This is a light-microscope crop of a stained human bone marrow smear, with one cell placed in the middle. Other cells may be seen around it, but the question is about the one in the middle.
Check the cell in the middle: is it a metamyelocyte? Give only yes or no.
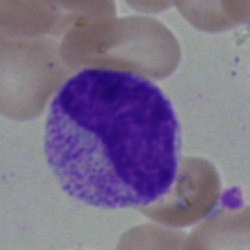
yes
